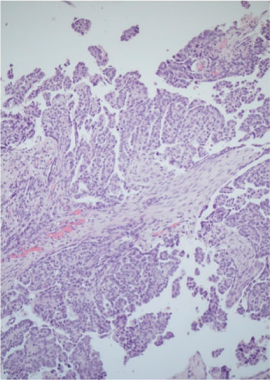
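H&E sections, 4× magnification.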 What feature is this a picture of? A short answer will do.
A: Papillary architecture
